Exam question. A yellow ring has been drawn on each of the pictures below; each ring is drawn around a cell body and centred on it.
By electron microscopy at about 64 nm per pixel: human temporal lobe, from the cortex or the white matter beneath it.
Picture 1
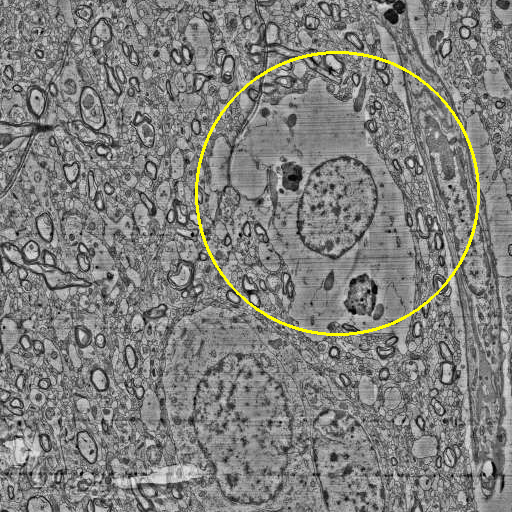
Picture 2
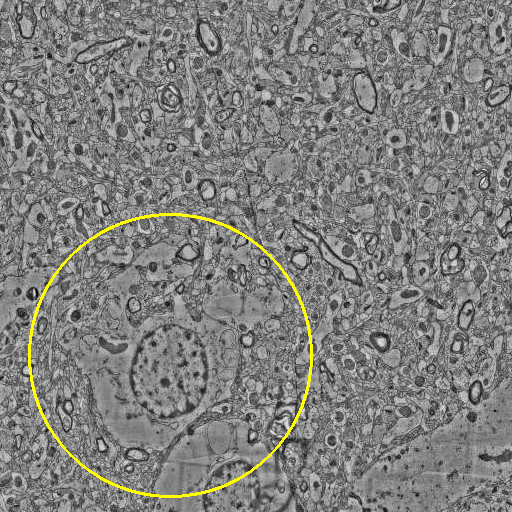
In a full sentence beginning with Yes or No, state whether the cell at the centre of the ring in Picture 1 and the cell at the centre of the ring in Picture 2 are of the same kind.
Yes, the two cells are of the same kind.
